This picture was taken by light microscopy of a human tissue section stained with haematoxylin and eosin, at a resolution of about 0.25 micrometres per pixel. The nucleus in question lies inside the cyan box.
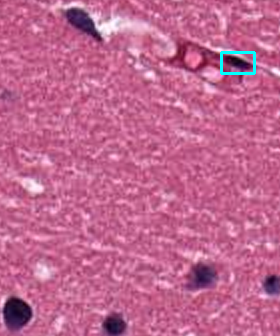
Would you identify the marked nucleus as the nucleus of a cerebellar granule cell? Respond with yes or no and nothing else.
no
